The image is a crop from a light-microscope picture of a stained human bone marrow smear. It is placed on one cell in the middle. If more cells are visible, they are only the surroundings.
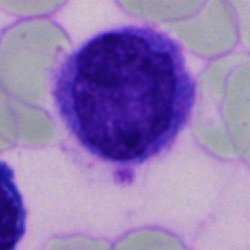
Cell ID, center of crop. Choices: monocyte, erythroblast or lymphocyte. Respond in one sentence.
The cell in the middle of this crop is a monocyte.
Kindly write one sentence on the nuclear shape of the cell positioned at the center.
One compact mass makes up the whole nucleus, round, oval or kidney-shaped.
